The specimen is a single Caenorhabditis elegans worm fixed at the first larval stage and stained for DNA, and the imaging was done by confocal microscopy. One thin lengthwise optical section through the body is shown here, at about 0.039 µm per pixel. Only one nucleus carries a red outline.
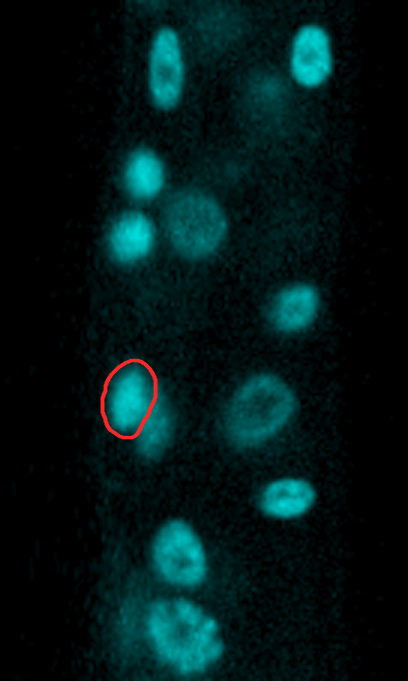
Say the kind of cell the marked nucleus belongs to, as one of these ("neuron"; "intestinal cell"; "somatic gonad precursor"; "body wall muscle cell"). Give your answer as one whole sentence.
What is marked is the nucleus of a neuron.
